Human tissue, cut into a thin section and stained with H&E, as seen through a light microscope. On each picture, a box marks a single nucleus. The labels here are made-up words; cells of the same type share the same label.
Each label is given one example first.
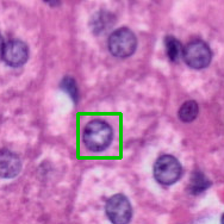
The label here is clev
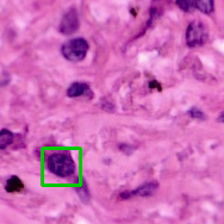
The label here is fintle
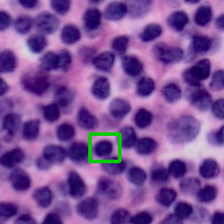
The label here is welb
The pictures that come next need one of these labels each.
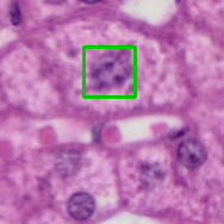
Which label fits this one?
clev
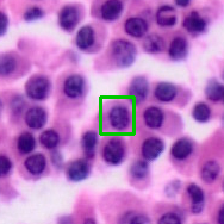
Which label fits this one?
fintle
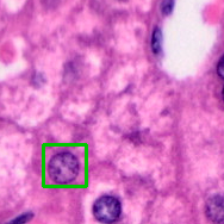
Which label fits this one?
clev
